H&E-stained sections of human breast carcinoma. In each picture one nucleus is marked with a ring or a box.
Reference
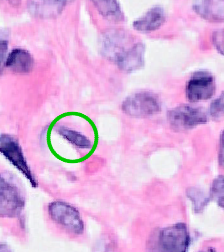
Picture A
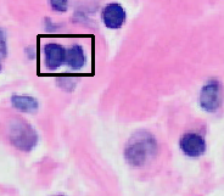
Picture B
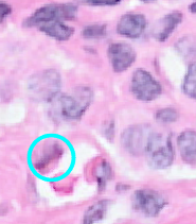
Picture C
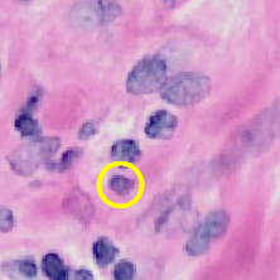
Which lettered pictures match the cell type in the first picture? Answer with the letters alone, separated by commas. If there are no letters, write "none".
B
